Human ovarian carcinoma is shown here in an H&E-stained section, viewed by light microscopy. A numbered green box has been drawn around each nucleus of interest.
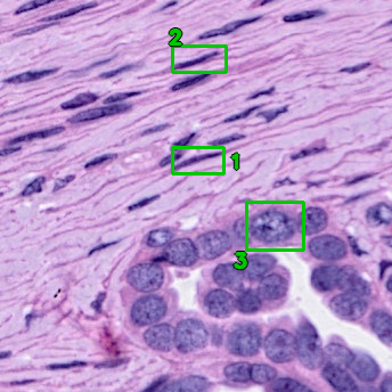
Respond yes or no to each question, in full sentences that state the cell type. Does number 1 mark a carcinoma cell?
No, the cell tagged 1 is a fibroblast, and not a carcinoma cell.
